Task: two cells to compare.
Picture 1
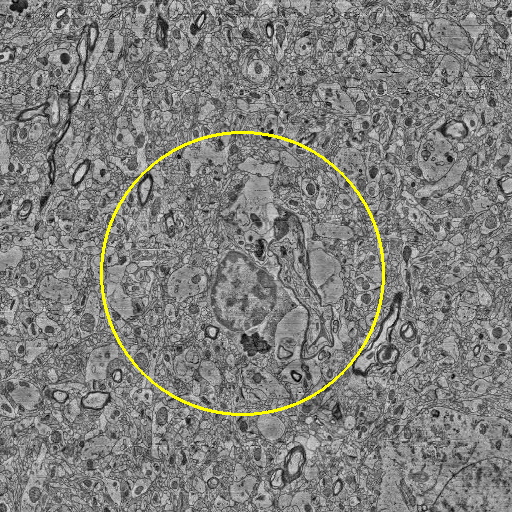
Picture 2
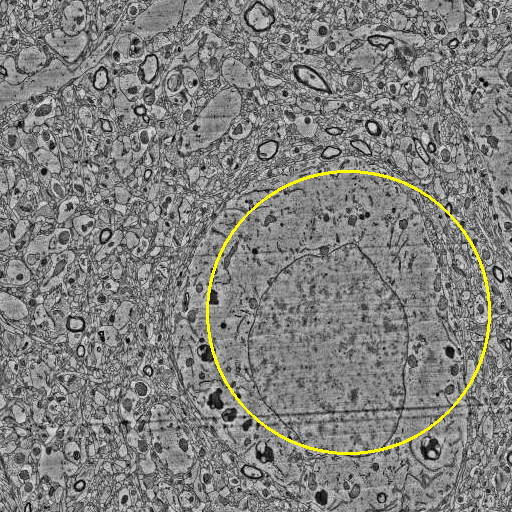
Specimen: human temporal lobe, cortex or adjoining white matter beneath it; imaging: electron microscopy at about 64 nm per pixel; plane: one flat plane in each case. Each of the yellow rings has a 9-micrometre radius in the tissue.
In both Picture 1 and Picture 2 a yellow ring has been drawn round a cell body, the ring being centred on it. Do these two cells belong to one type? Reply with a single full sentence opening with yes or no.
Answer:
No, the two cells at the ring centres in Picture 1 and Picture 2 are of two types.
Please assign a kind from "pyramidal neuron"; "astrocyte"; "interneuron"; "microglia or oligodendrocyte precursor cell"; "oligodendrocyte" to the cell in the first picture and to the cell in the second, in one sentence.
In the first picture we have an oligodendrocyte, and in the second, a pyramidal neuron.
